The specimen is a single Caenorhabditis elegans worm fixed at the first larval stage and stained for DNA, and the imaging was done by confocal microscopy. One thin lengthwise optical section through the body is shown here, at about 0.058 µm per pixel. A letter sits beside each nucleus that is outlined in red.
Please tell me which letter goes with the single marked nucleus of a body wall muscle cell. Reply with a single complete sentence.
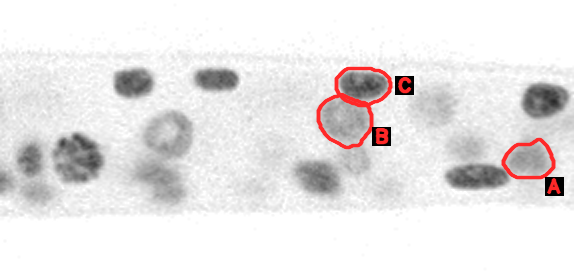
C is the one that belongs to a body wall muscle cell.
